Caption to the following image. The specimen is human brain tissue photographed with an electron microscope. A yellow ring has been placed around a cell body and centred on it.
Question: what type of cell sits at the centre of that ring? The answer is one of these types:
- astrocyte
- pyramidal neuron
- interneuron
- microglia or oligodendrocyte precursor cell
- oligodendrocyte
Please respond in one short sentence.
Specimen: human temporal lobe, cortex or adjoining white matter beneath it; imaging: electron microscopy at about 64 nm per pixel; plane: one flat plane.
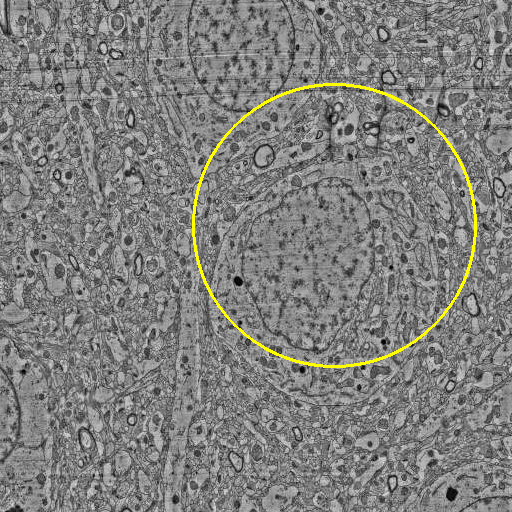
The ring surrounds the cell body of an interneuron.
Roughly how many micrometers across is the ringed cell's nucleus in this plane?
Approximately 11 x 9 micrometres in this plane.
